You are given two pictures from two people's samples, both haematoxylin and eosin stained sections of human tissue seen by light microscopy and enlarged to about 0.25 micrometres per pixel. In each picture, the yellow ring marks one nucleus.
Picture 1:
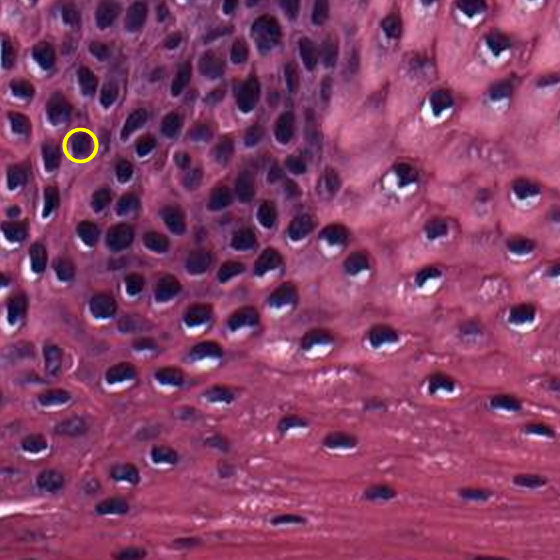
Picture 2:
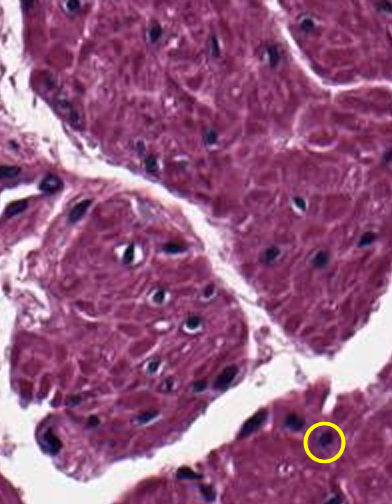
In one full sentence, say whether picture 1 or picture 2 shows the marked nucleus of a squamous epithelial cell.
The one marked nucleus that belongs to a squamous epithelial cell is found in picture 1.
